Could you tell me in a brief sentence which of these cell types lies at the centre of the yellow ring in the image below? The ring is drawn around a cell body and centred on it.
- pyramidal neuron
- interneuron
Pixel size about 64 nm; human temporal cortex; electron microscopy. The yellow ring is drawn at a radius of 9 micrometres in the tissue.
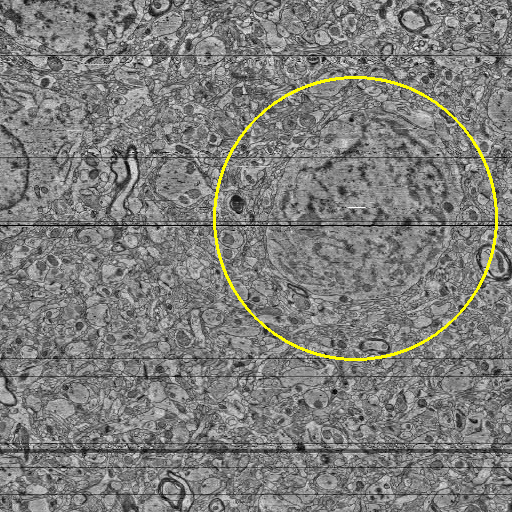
The cell centred in the ring is an interneuron.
